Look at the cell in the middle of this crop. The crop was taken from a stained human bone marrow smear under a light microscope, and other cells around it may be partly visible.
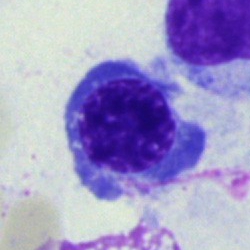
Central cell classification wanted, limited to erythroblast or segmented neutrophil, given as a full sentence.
The cell in the exact centre of the crop is an erythroblast.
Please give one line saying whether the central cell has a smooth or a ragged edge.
Irregular and not smooth, the cell boundary is ragged or drawn out into projections.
